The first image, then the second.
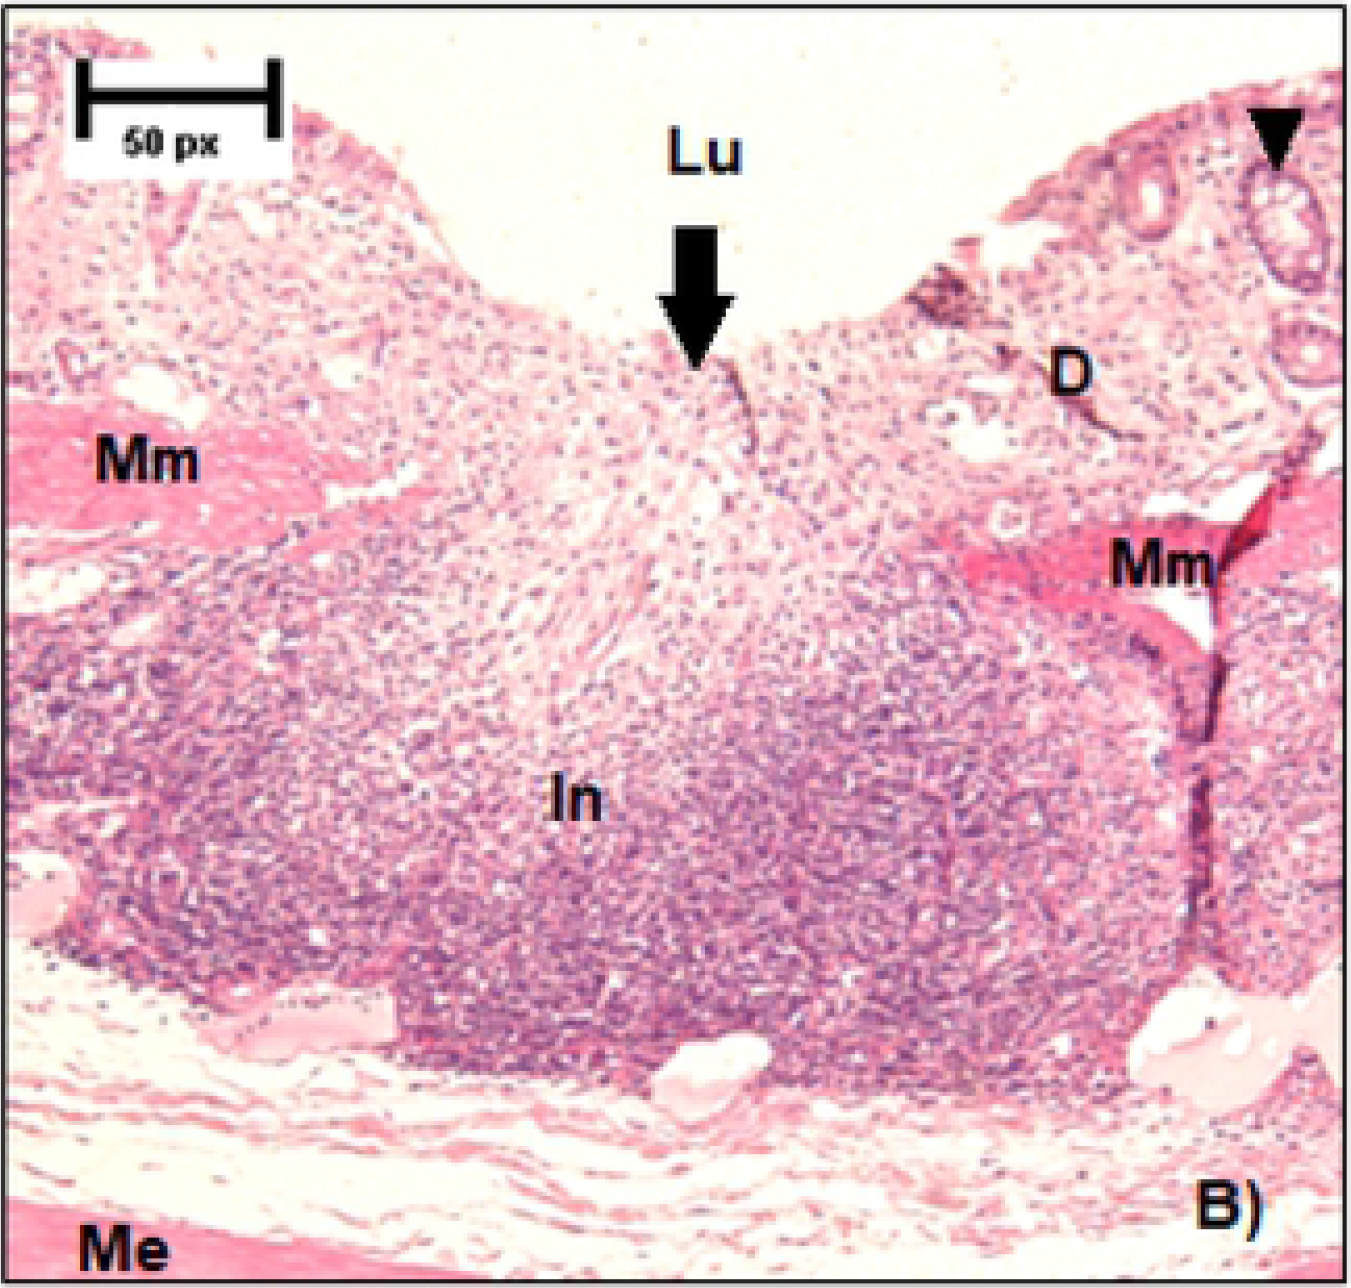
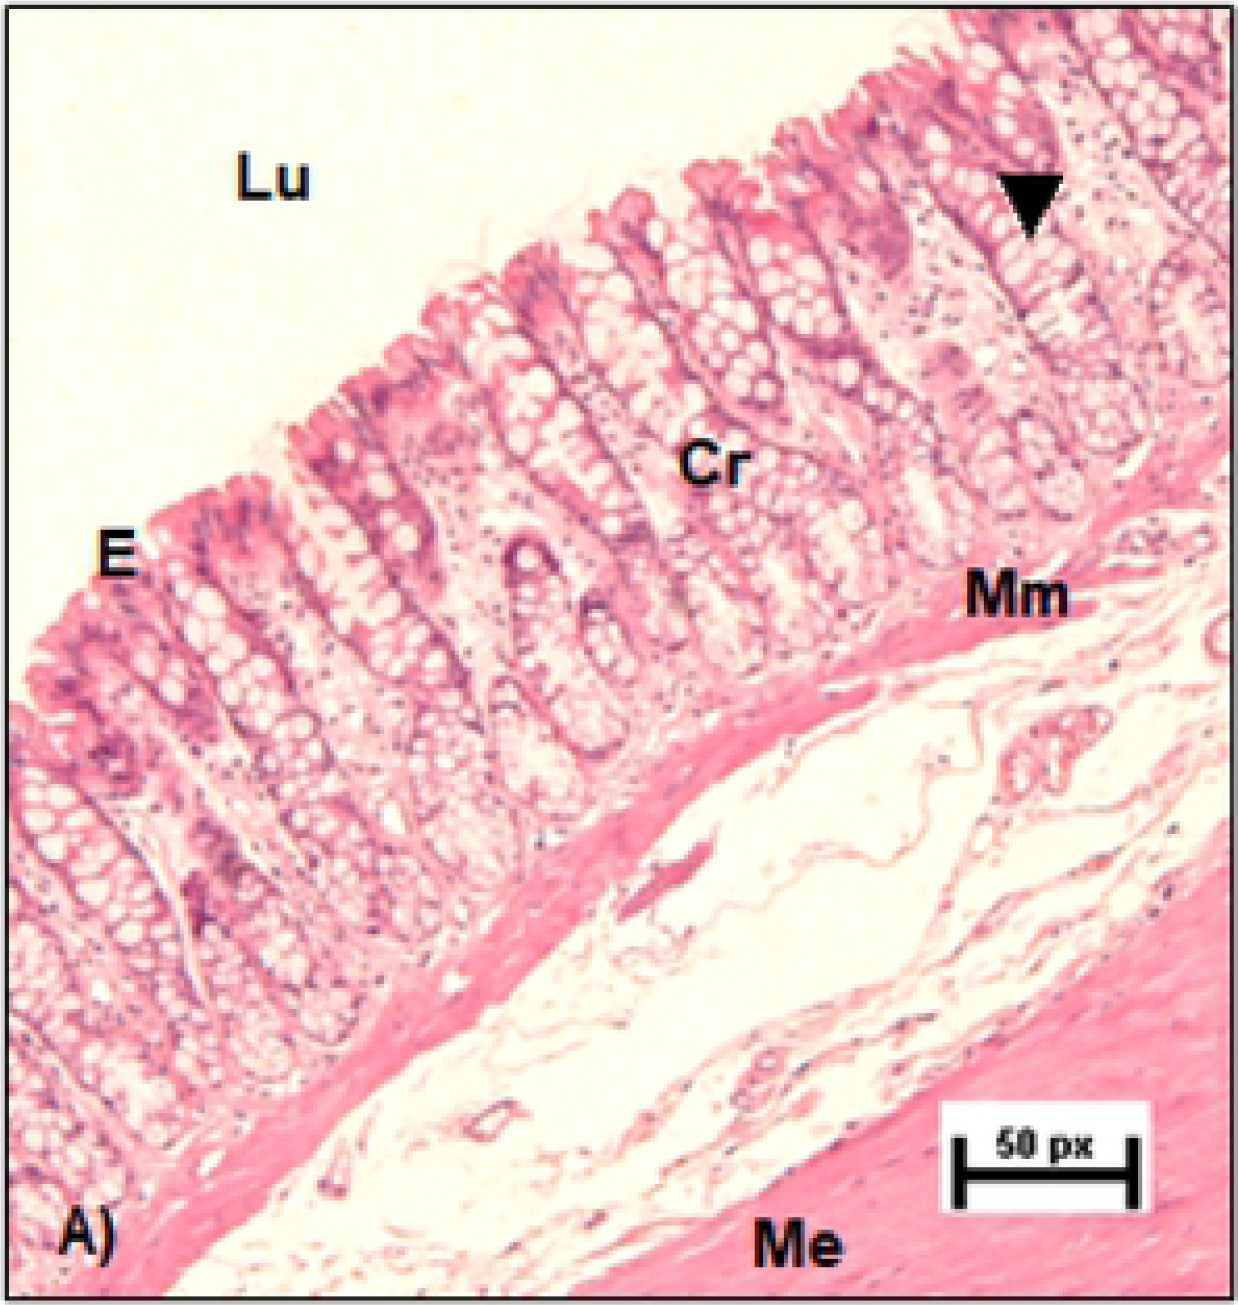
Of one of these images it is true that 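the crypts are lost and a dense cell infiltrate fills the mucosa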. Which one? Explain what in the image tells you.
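The first image. First image: only a few crypts remain at the edges and a large dense purple mass of small cells occupies the middle of the wall. Second image: regular parallel tubular crypts full of pale cells span the mucosa with no dense cell aggregates.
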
